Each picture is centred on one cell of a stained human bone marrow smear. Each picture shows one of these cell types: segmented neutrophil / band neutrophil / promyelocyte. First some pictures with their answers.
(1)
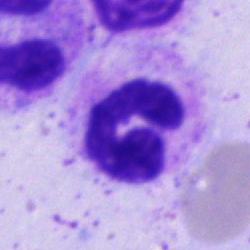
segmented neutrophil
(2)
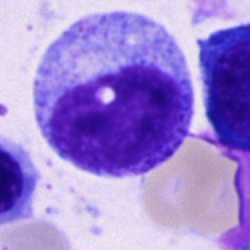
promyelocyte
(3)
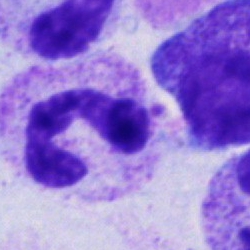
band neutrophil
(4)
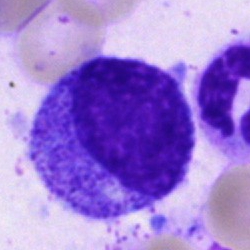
promyelocyte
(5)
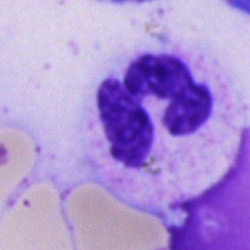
segmented neutrophil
